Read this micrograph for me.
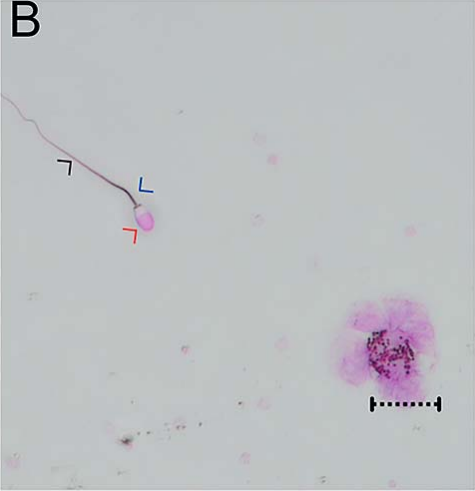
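The spermatozoon has a small oval pale pink head, a short darker midpiece and a long thin tail that runs off toward the upper left. The neutrophil, at the lower right, no longer has a compact outline: a broad pale pink halo spreads outward from it in an irregular, petal-like fringe. Its centre holds a cluster of dark granular material. The two cells do not touch.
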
